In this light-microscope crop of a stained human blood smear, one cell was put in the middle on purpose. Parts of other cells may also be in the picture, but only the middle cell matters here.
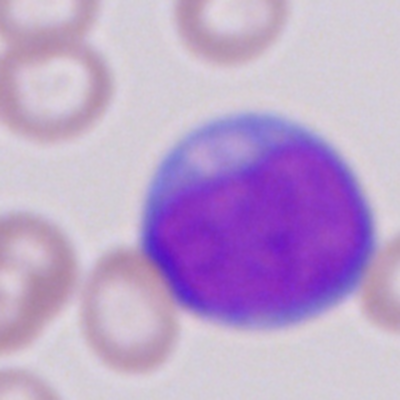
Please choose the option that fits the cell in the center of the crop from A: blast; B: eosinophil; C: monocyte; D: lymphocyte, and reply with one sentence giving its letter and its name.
The best answer is option A, since the cell in the middle is a blast.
